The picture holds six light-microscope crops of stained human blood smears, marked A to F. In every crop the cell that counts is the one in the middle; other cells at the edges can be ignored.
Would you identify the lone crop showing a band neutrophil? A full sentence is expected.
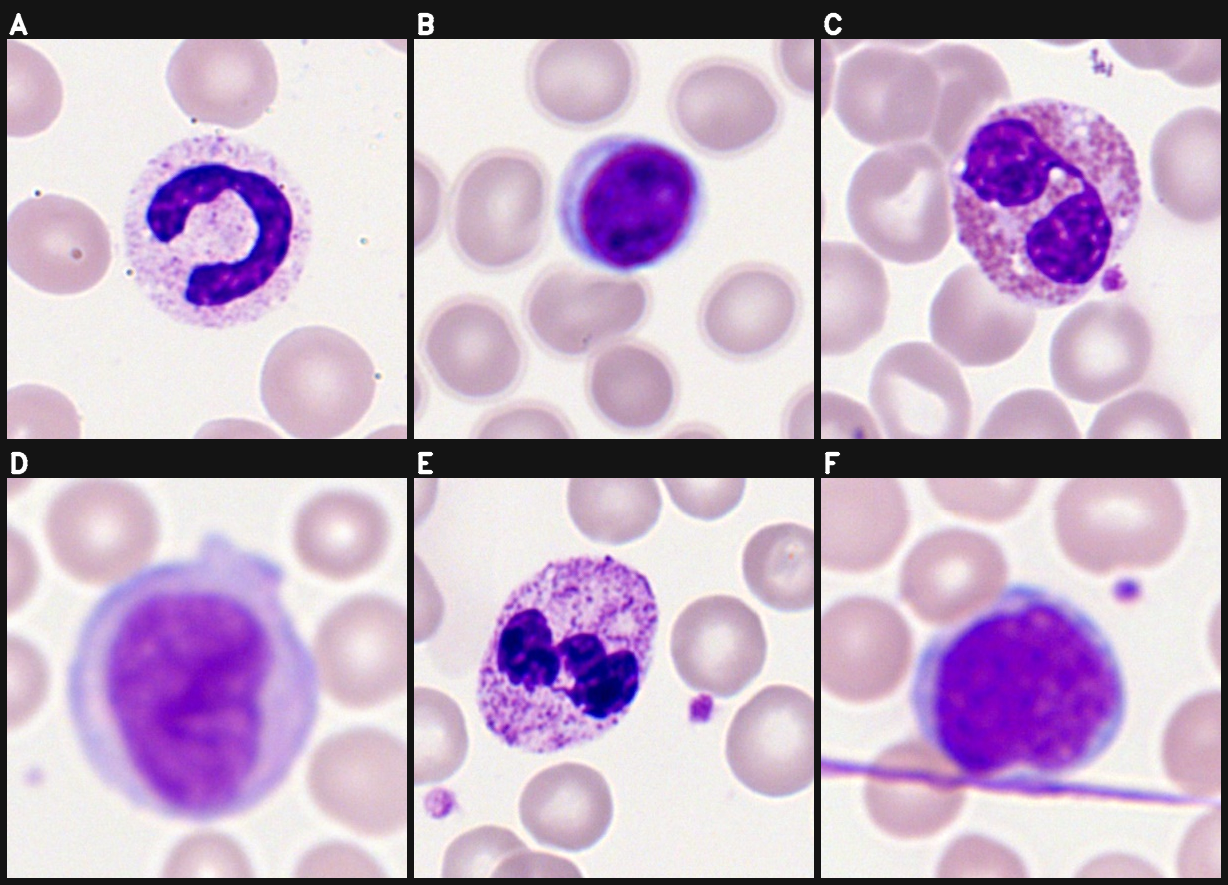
It is crop A that shows a band neutrophil.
